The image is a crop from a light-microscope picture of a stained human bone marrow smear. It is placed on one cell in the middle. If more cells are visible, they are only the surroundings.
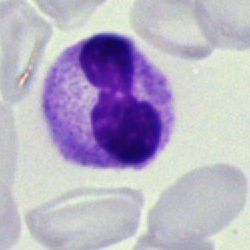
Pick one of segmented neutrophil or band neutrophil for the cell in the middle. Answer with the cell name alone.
segmented neutrophil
